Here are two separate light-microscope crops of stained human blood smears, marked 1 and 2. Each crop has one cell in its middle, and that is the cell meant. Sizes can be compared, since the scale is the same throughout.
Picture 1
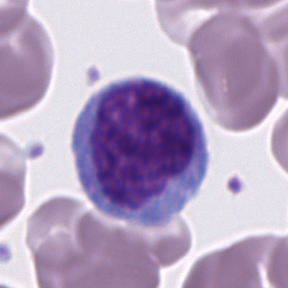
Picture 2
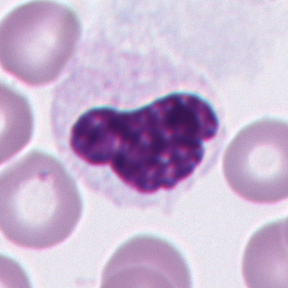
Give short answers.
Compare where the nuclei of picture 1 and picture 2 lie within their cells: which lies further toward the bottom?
2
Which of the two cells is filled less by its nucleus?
2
